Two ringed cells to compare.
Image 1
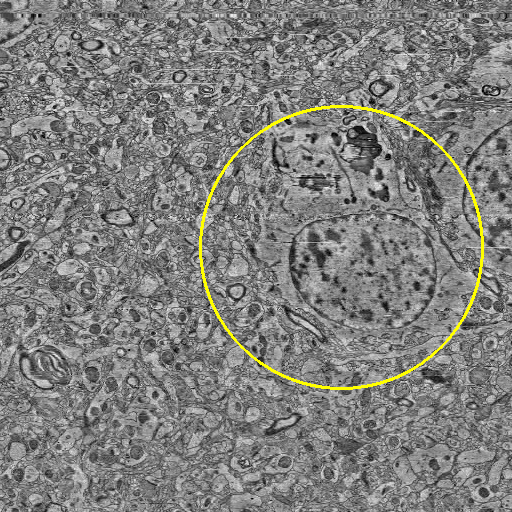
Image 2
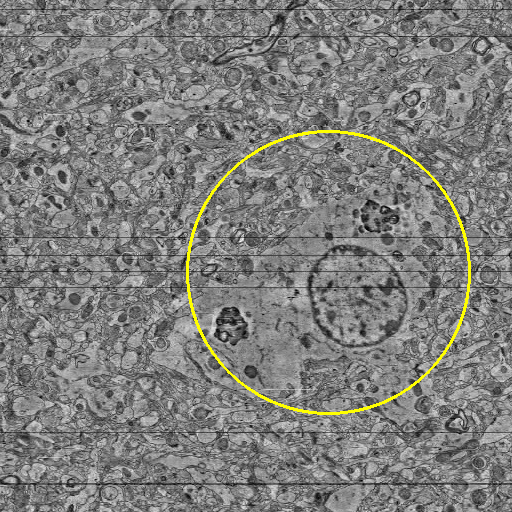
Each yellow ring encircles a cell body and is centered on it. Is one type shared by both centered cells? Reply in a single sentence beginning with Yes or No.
Yes, a single type is shared by the two cells at the centers of the rings.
